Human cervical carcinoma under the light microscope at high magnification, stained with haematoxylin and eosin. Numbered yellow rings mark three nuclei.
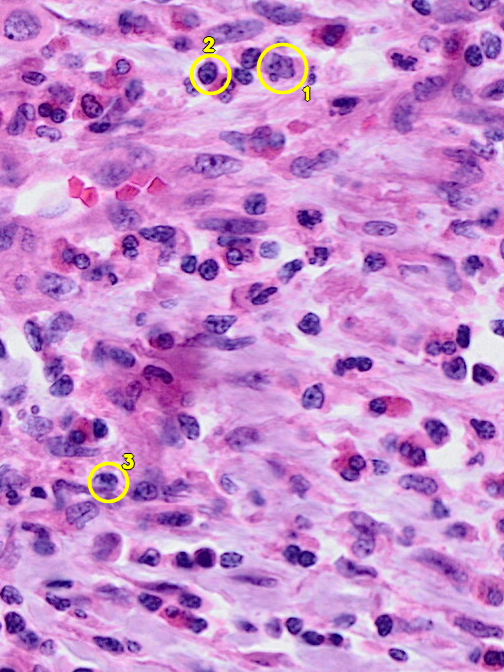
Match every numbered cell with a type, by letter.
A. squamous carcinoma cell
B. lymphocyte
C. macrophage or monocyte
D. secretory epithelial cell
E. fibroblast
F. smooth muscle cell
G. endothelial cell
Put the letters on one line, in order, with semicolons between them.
C; B; B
